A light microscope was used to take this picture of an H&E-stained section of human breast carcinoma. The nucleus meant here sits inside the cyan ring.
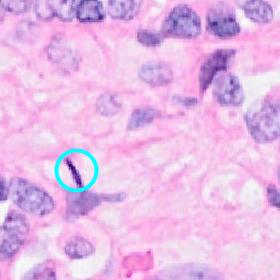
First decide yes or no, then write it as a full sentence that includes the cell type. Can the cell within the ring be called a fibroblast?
Yes, a fibroblast is what the cell within the ring represents in this tissue.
